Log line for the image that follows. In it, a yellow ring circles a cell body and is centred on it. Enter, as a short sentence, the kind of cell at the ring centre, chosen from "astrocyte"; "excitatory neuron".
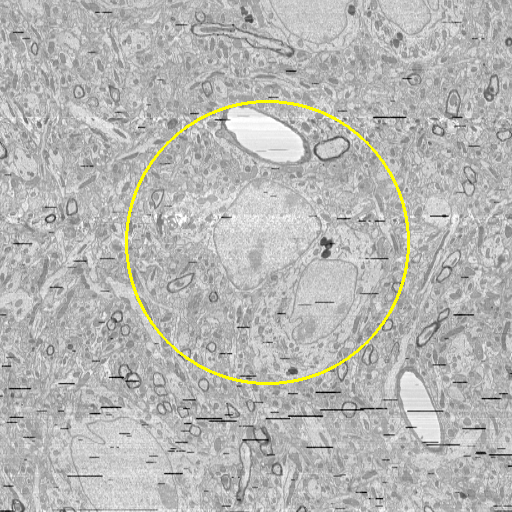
The ring centre is occupied by an astrocyte.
